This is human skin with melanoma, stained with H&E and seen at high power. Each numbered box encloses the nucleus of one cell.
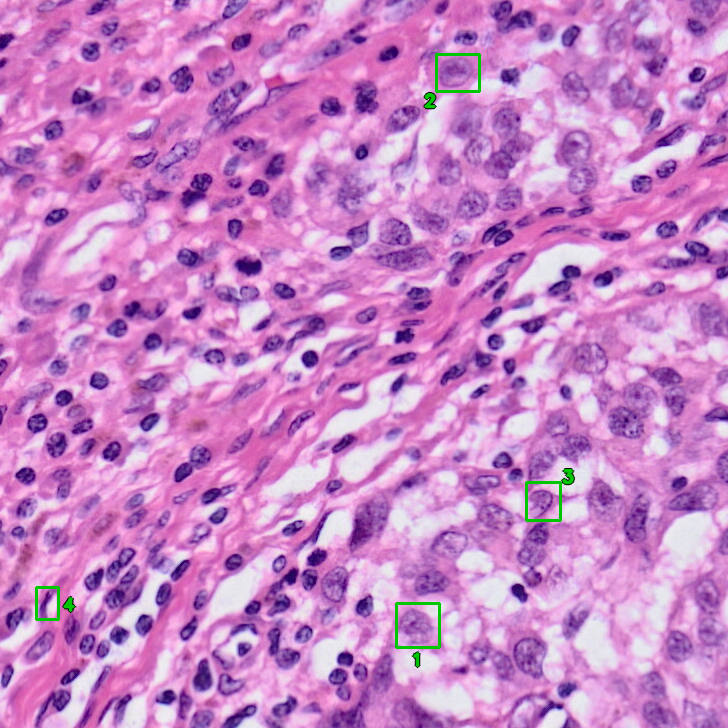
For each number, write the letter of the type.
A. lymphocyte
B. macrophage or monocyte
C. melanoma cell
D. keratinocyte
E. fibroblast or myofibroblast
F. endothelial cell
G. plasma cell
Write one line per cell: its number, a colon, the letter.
1: C
2: C
3: C
4: E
